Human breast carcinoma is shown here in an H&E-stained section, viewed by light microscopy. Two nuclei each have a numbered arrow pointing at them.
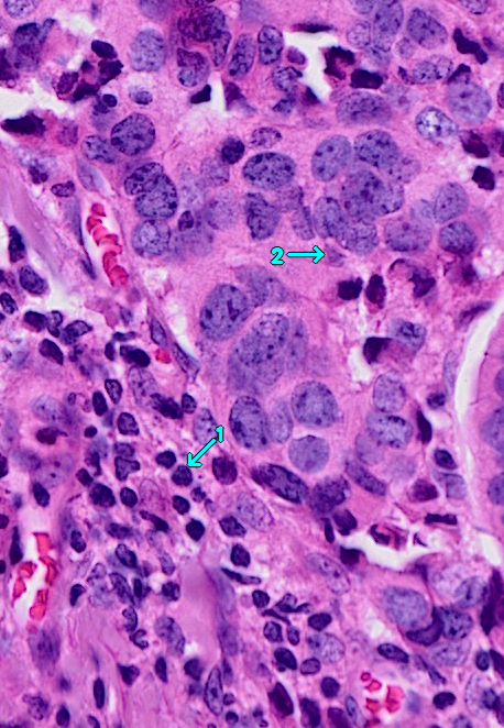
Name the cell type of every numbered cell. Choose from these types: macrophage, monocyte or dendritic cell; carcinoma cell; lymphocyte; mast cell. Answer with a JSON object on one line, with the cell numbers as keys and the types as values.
{"1": "lymphocyte", "2": "carcinoma cell"}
